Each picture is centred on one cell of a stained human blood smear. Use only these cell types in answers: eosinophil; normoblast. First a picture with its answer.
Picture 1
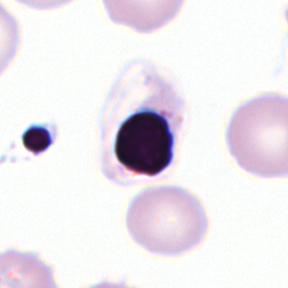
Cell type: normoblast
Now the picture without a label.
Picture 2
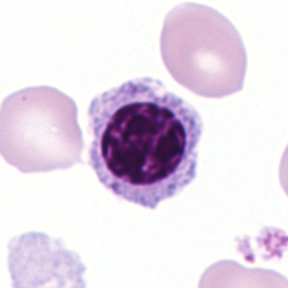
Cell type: normoblast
